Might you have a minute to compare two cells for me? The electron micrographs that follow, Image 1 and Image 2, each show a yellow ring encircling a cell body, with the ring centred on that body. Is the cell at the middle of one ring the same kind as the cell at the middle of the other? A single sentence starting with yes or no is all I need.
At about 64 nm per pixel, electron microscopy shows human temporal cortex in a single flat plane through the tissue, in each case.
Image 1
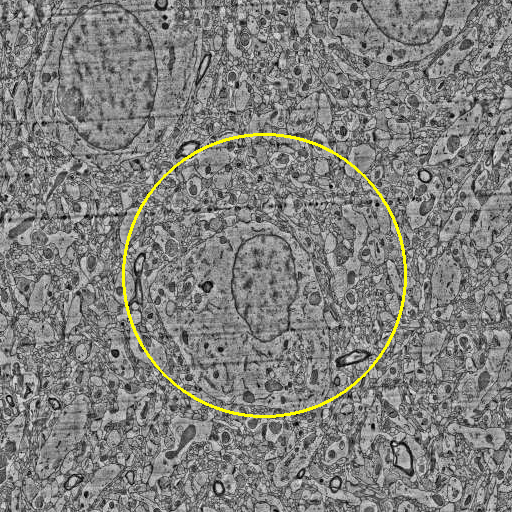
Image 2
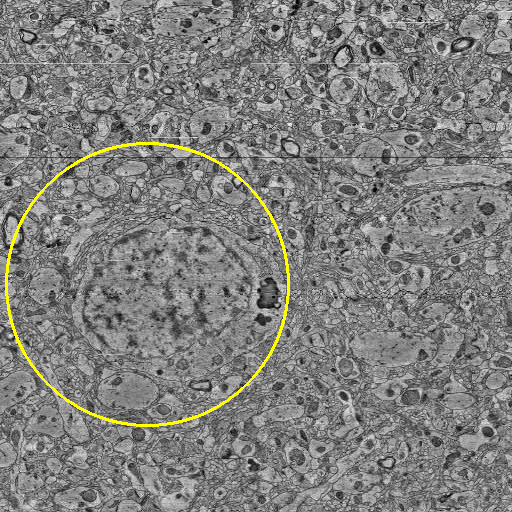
No, the cells in the middle of the two rings are of two separate kinds.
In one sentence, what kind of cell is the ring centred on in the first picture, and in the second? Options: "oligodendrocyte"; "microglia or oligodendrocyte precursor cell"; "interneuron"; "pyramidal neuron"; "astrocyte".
The cell at the centre of the second ring is an interneuron; the first ring's cell is a pyramidal neuron.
